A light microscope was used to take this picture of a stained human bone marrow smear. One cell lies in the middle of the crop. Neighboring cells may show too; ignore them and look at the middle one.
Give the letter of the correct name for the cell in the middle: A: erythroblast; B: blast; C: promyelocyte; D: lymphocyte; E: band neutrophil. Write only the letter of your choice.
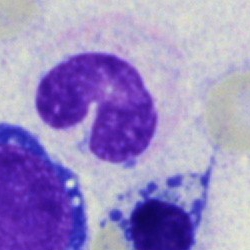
E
